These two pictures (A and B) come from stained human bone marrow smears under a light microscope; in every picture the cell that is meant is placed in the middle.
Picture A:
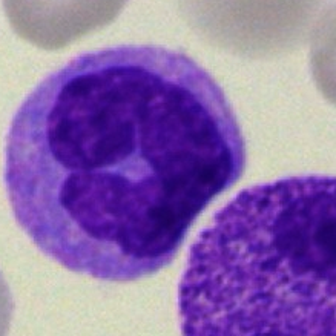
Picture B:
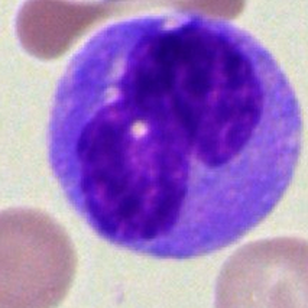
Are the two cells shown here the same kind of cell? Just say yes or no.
yes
